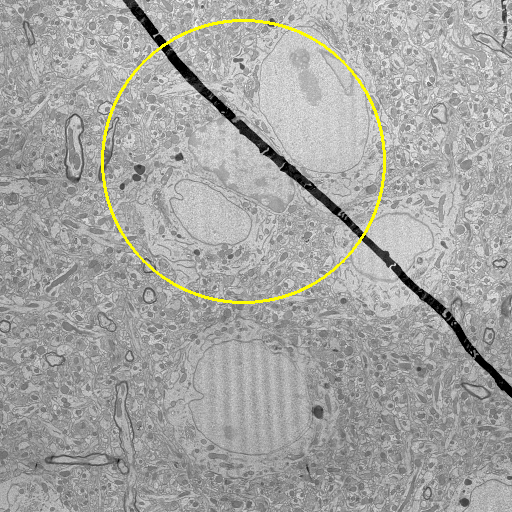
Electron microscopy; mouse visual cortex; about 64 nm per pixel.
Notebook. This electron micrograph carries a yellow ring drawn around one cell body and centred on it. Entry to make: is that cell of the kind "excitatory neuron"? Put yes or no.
no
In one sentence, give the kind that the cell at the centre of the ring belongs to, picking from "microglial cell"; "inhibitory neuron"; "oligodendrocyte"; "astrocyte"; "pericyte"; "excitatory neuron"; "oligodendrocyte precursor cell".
Here, the ring is centred on an oligodendrocyte instead.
